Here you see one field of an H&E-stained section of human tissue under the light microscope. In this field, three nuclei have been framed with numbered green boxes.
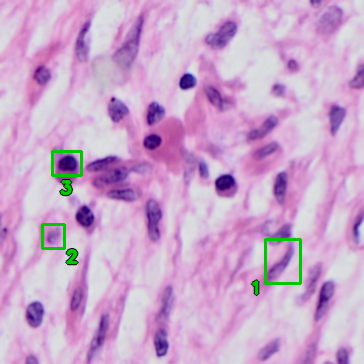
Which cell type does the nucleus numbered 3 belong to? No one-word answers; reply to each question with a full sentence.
In this section, the cell tagged 3 is a plasma cell.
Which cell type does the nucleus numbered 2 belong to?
Nucleus 2 in this section belongs to a macrophage or monocyte.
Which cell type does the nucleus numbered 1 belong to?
Identified as a fibroblast or myofibroblast is the cell bearing the number 1.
